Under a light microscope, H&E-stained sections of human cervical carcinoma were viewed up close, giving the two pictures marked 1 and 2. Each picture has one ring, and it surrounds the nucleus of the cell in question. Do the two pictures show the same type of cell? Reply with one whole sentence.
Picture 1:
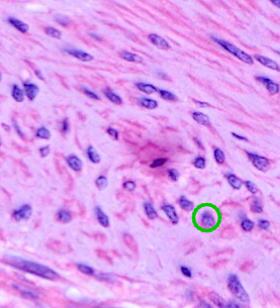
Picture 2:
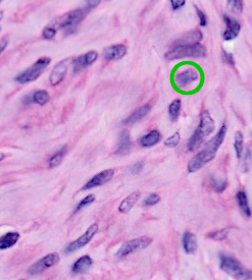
Yes; the cells in both pictures are smooth muscle cells.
